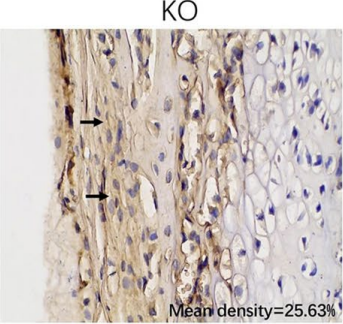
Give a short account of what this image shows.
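The left part holds many elongated, spindle-shaped cells with oval blue nuclei, aligned in parallel streams; their cytoplasm and the matrix around them take a brown stain, darkest along the left edge. Toward the middle the cells become rounder and sit in pale spaces. On the right, cartilage shows large rounded cells in clear lacunae set in pale matrix, giving a bubbly texture. The brown staining is concentrated in the fibrous cellular layer rather than the cartilage.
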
